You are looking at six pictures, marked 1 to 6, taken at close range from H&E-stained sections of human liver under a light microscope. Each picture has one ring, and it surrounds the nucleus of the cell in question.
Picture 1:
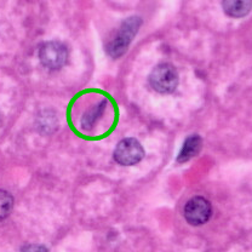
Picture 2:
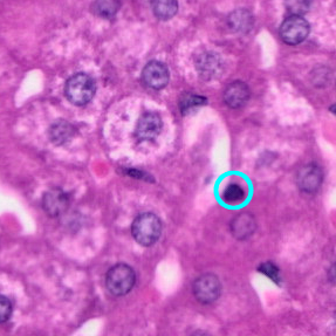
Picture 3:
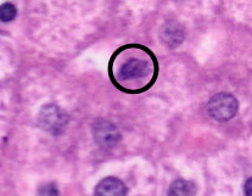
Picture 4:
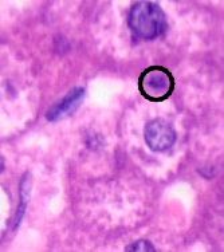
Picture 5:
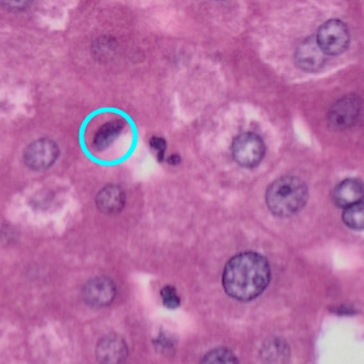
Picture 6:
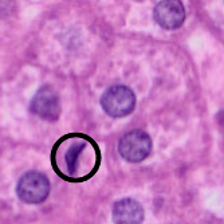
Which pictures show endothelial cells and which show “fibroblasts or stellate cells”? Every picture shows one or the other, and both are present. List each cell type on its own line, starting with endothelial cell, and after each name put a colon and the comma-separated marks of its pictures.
endothelial cell: 1, 6
fibroblast or stellate cell: 2, 3, 4, 5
